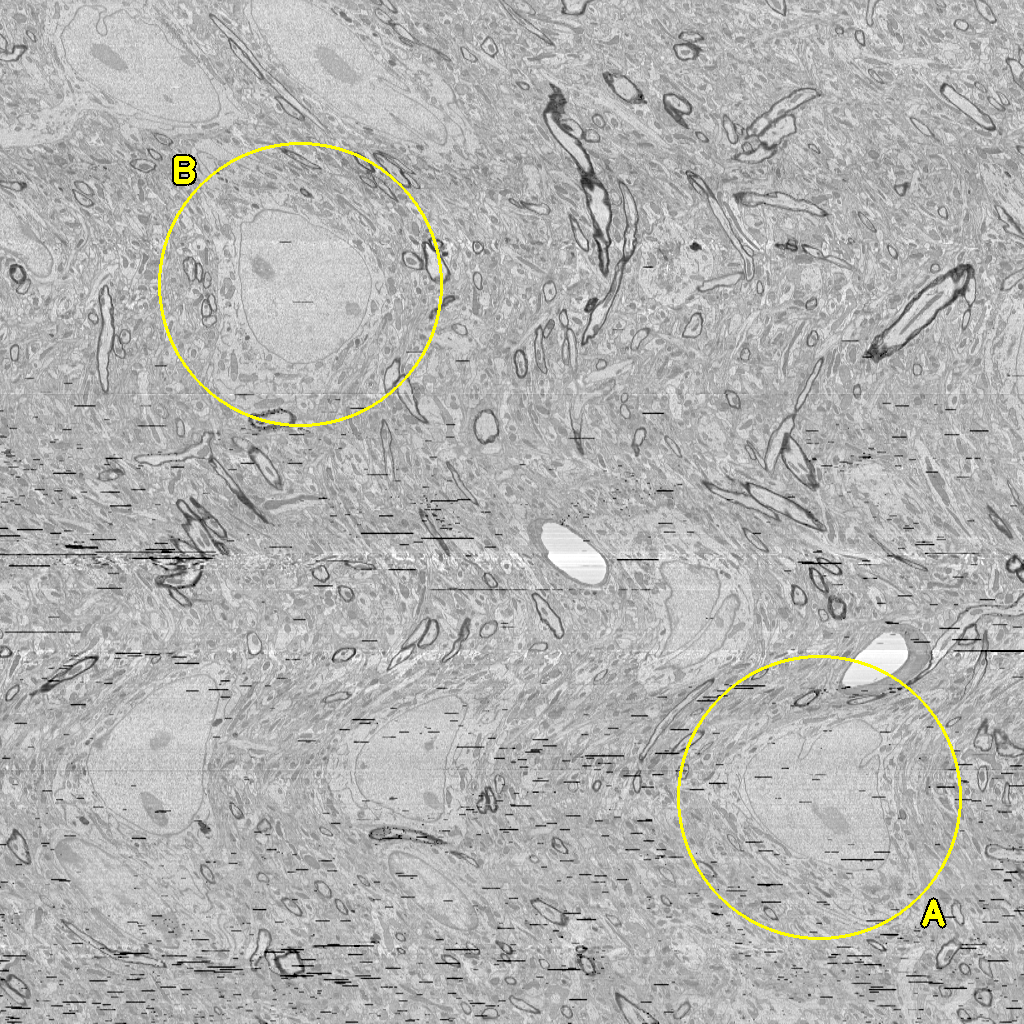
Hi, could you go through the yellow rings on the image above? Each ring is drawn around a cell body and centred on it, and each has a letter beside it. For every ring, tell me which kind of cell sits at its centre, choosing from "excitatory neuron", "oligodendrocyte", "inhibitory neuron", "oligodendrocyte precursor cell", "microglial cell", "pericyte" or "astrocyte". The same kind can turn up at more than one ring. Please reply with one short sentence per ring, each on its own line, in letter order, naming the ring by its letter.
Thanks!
Ring A is centred on an inhibitory neuron.
Ring B is centred on an excitatory neuron.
